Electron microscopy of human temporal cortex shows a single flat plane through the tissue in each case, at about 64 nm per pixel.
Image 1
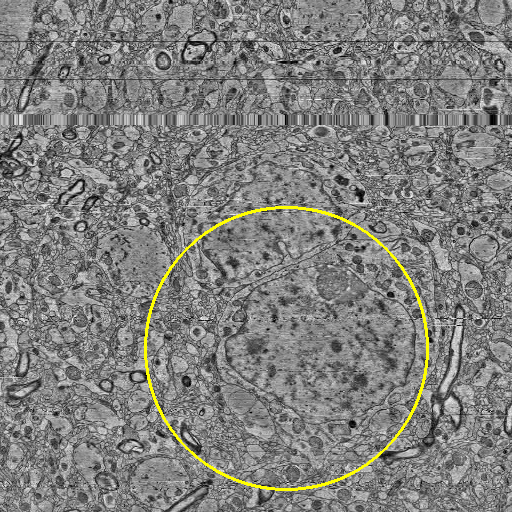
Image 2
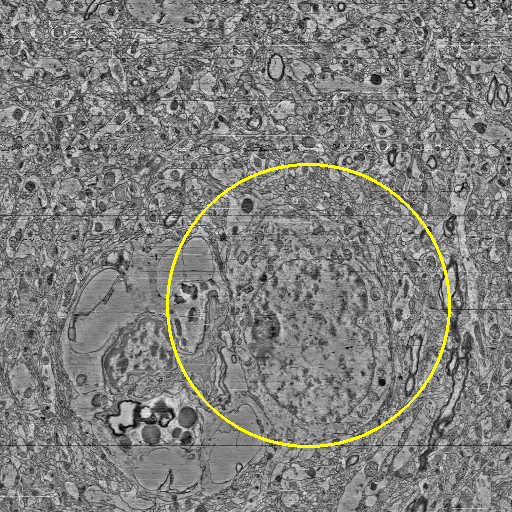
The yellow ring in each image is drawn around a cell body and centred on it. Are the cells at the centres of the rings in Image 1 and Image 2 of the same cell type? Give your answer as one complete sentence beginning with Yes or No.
Yes, both cells are of the same type.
